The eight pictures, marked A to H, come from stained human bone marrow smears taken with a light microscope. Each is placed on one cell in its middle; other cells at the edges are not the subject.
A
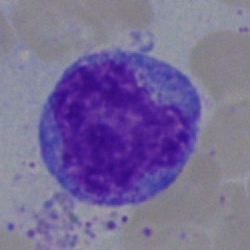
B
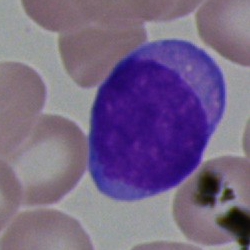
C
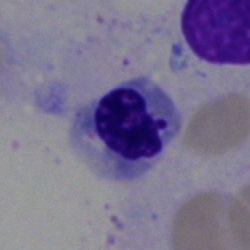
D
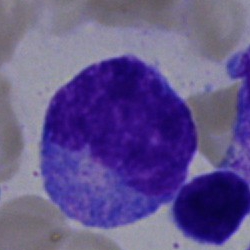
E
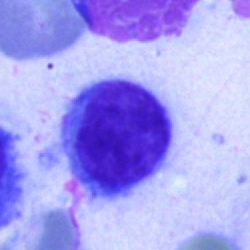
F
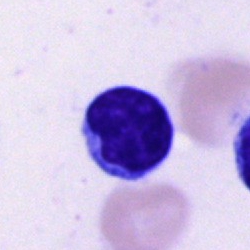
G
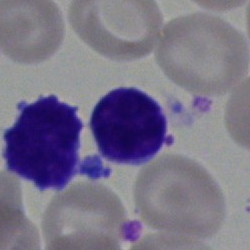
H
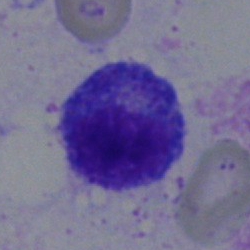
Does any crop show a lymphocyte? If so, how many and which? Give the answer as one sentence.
Well, three crops show lymphocytes, and those are E, F and G.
